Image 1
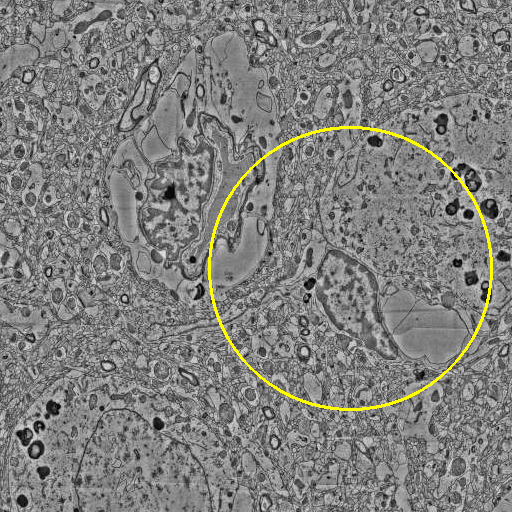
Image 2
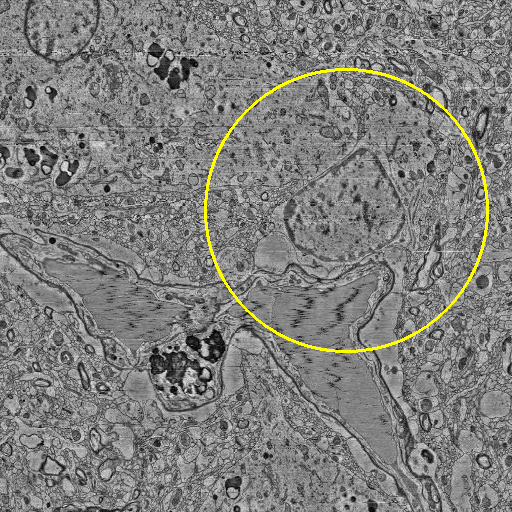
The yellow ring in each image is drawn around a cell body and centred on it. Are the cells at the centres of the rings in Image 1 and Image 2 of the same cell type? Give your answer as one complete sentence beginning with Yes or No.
Yes, both cells are of the same type.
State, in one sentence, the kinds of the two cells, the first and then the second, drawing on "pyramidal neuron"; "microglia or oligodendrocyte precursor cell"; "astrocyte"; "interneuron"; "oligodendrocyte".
In each picture the ringed cell is a microglial cell or oligodendrocyte precursor cell.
